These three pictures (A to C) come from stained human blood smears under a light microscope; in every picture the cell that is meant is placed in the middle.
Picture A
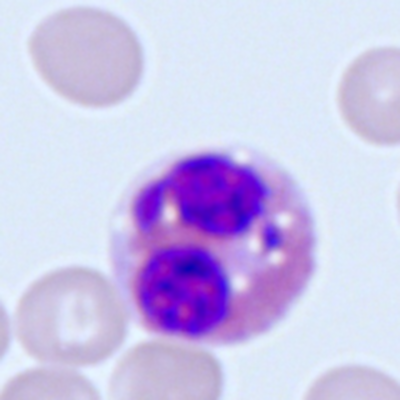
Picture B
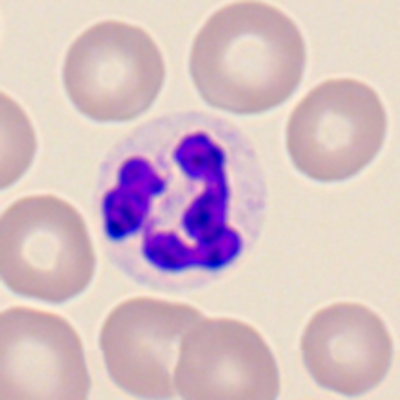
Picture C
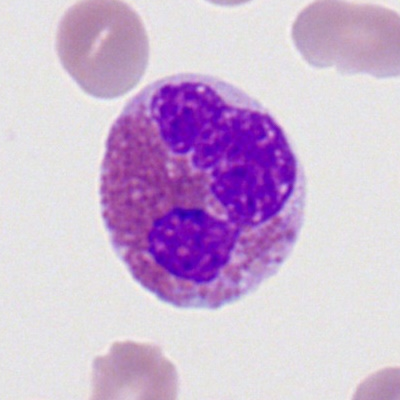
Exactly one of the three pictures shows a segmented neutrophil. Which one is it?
B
